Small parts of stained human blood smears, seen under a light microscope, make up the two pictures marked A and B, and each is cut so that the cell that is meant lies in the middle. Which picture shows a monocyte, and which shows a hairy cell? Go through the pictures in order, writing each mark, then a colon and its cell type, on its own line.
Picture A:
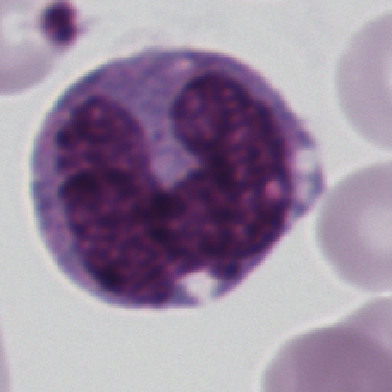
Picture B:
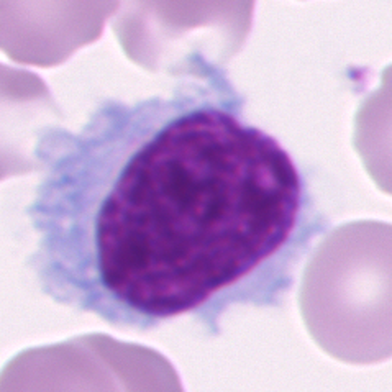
A: monocyte
B: hairy cell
